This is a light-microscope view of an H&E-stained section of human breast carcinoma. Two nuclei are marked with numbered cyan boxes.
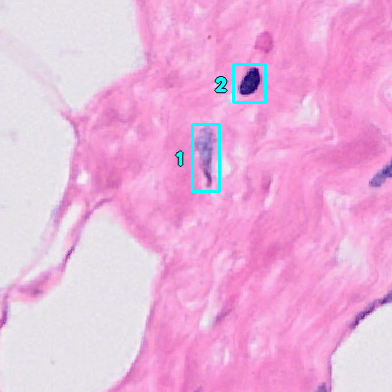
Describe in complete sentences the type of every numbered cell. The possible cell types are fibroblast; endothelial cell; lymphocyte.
Cell 1 is a fibroblast. Cell 2 is a lymphocyte.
